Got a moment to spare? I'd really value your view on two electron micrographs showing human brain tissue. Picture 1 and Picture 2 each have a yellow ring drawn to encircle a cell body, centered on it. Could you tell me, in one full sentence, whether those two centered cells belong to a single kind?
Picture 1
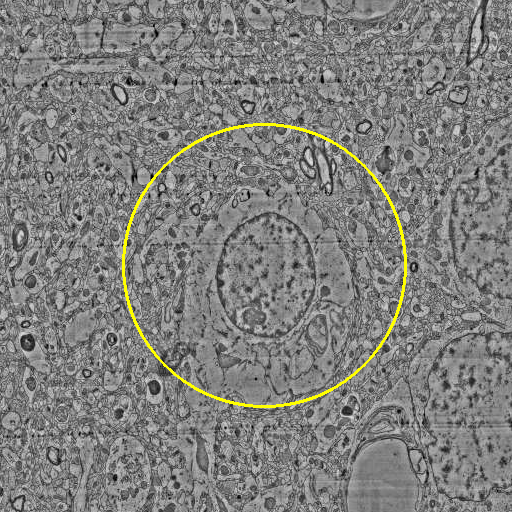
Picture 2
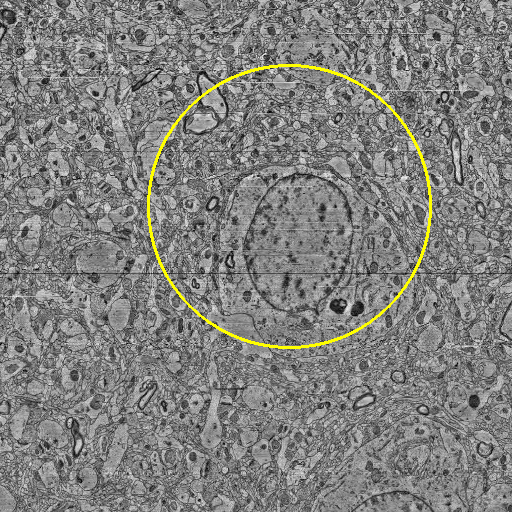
No, the two centered cells in Picture 1 and Picture 2 are of two kinds.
